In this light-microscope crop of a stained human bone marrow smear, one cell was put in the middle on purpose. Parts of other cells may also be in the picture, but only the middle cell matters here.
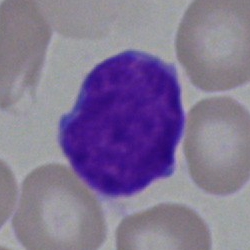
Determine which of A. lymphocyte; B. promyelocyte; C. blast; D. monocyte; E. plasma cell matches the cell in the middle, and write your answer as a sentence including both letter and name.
Option C is the right choice, the central cell being a blast.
